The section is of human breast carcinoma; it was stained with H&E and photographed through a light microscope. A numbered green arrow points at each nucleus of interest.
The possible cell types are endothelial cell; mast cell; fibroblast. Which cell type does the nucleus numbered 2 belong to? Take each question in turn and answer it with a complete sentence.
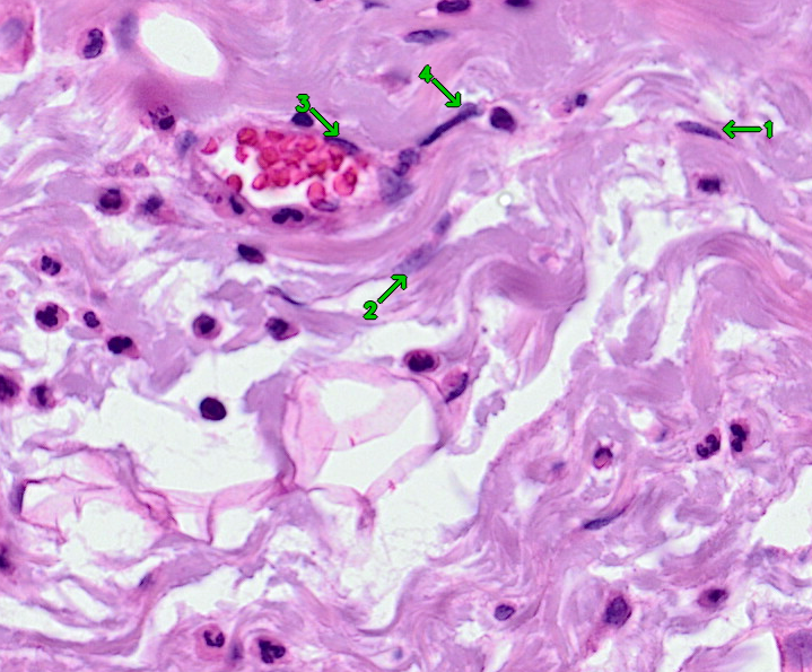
Marked with the number 2, this cell is a fibroblast.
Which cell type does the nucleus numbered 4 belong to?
Identified by the number 4, the cell is a fibroblast.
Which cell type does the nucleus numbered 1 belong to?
The identity of cell 1 is that of a fibroblast.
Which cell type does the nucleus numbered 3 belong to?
Nucleus 3 in this section belongs to an endothelial cell.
